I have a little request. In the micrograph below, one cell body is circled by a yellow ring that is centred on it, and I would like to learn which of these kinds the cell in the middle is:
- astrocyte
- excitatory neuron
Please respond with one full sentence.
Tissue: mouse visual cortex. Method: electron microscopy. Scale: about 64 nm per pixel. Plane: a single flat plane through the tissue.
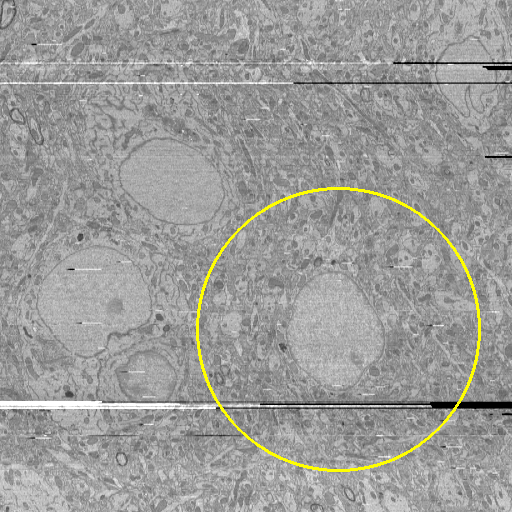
The cell sitting in the middle of the yellow ring in the micrograph is an astrocyte.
